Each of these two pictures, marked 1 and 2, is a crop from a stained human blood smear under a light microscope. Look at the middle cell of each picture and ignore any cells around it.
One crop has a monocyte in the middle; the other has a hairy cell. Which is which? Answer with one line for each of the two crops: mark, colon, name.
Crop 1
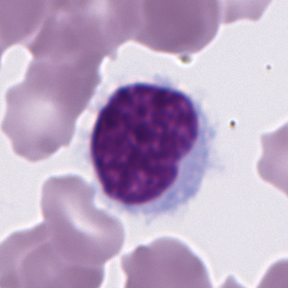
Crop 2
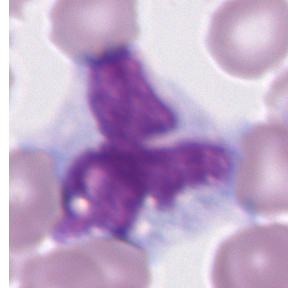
1: hairy cell
2: monocyte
